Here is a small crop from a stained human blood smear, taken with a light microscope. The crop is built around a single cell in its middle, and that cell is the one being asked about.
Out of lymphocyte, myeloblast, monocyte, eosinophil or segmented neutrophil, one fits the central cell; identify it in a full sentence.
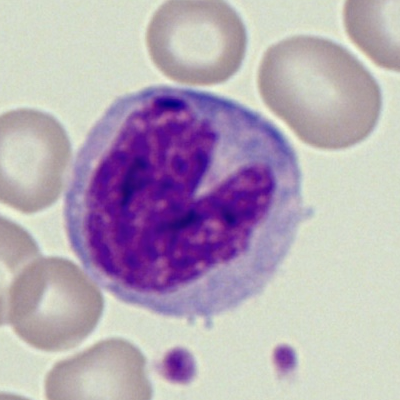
By classification, the middle cell of this crop is a monocyte.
